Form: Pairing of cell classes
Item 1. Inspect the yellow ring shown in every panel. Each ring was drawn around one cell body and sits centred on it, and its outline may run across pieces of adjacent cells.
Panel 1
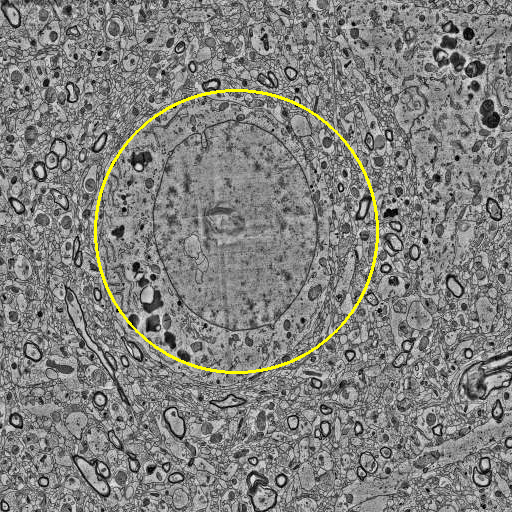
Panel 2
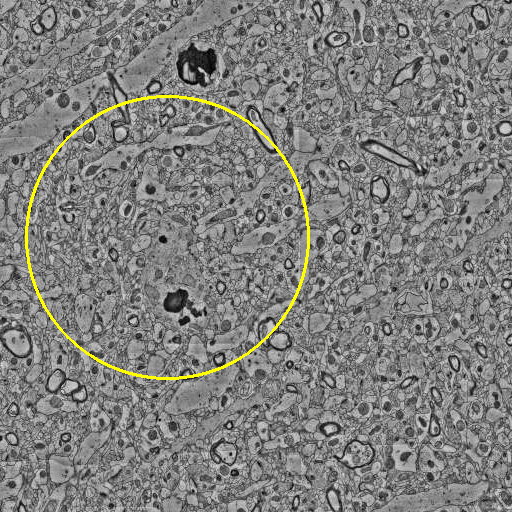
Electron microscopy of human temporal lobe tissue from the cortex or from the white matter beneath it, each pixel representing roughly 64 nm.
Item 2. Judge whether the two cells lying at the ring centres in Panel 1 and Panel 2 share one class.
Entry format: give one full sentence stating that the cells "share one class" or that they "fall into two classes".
The cells at the ring centres in Panel 1 and Panel 2 fall into two classes.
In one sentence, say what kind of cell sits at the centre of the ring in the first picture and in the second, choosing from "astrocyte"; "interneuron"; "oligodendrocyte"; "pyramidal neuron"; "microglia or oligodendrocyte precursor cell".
The first picture's ringed cell is a pyramidal neuron, while the second picture's is an oligodendrocyte.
